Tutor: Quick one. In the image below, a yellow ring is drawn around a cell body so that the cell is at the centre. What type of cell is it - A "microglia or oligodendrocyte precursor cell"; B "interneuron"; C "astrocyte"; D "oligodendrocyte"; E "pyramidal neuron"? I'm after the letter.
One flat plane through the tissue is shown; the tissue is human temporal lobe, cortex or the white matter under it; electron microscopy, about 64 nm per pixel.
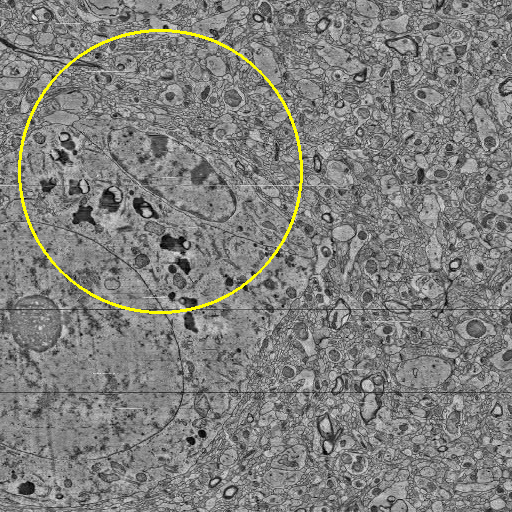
A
